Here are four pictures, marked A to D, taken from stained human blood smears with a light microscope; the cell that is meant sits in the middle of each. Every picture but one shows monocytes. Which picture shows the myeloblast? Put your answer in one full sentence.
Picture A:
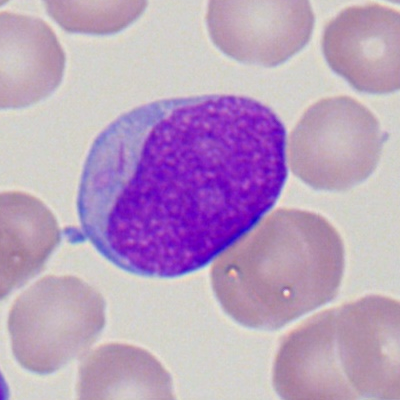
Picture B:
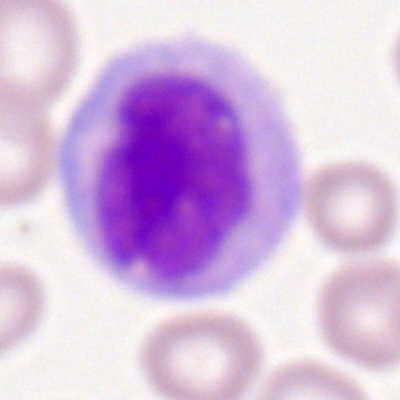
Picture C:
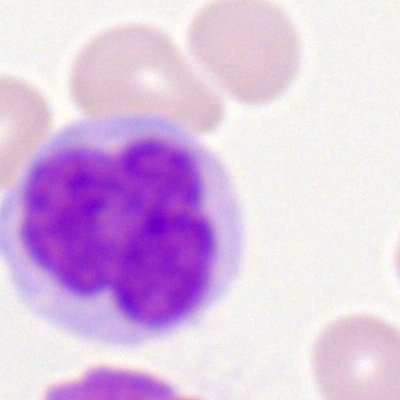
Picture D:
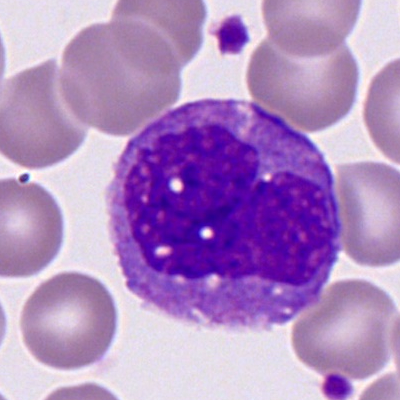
The myeloblast is the one in picture A.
